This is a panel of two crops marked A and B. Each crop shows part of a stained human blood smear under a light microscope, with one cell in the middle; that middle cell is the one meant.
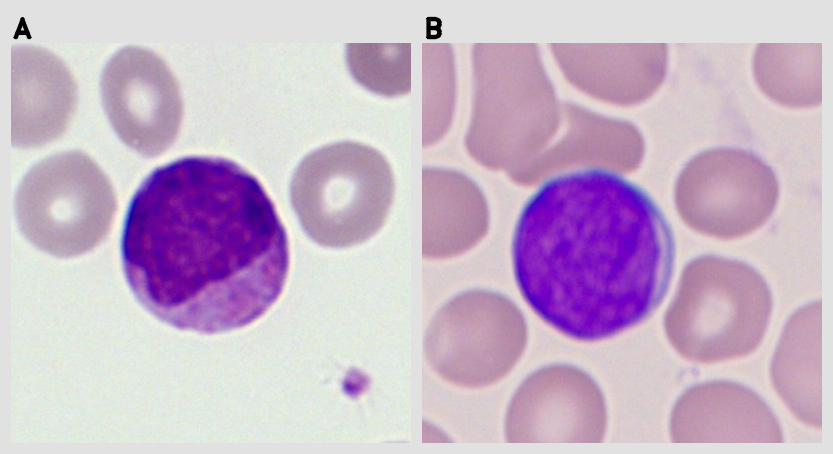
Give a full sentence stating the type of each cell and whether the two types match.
Yes, the cells at the centre of both crops are myeloblasts.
